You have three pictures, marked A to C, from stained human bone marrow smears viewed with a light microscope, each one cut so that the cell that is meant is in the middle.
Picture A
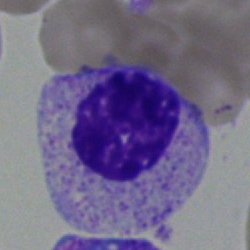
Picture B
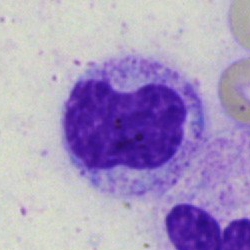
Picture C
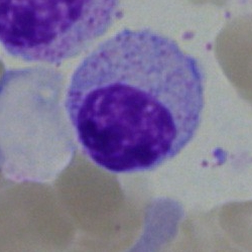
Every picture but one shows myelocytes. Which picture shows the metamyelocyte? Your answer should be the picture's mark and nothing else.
B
